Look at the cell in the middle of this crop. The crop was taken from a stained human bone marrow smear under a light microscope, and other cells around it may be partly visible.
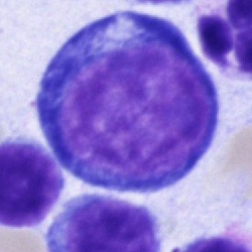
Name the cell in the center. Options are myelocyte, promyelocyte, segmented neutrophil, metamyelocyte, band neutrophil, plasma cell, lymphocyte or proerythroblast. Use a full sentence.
The cell in the middle of the field of view is a proerythroblast.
